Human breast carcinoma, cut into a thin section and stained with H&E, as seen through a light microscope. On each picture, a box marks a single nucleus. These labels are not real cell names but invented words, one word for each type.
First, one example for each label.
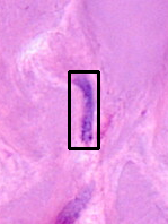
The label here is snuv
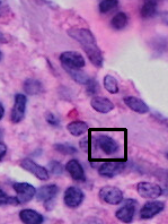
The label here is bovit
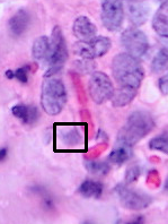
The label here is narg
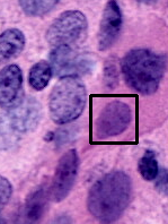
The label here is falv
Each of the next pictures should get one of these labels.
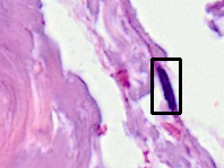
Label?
snuv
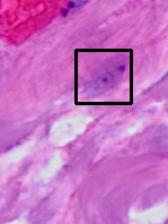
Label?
snuv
